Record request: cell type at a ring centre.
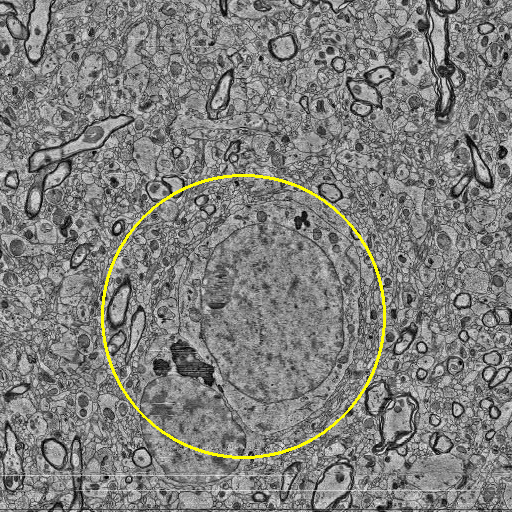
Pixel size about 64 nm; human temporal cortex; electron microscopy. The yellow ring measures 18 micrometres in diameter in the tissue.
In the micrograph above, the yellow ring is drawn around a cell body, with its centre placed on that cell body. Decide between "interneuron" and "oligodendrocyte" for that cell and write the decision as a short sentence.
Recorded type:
The cell centred in the yellow ring is an interneuron.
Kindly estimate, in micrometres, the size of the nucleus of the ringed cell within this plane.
Roughly 12 by 9 micrometres in this plane, for the nucleus of the ringed cell.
